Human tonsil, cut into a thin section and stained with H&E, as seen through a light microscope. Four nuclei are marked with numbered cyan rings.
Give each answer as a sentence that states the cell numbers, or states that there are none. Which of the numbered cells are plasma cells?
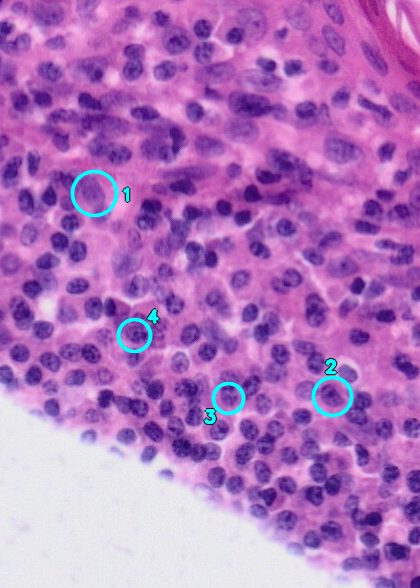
The cells with labels 2, 3 and 4 are plasma cells.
